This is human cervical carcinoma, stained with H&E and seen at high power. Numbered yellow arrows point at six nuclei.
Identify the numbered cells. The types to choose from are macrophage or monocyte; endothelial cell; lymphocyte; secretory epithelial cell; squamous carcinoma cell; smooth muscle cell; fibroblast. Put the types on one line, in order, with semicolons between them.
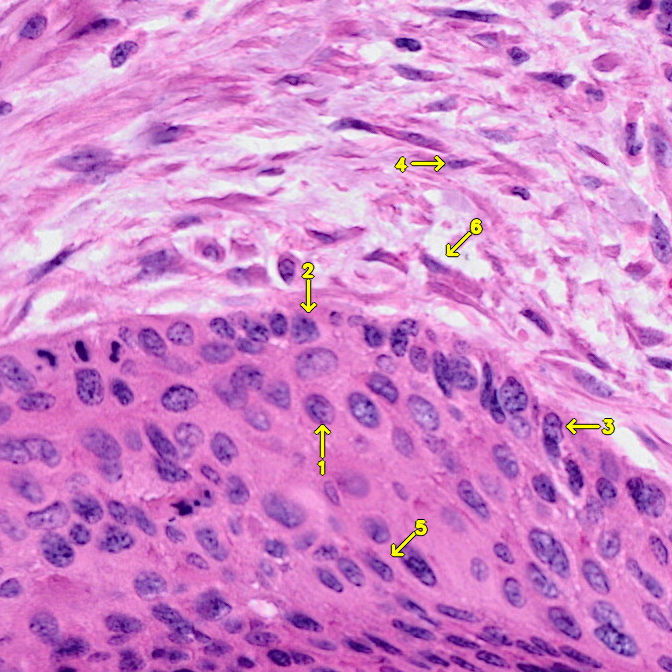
squamous carcinoma cell; squamous carcinoma cell; squamous carcinoma cell; fibroblast; squamous carcinoma cell; fibroblast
